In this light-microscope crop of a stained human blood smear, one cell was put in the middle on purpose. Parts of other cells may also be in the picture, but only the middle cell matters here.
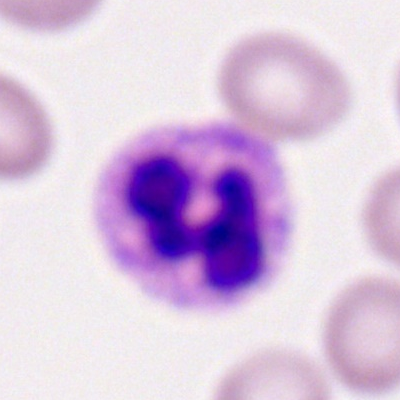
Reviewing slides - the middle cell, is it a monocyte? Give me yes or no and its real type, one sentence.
No, the correct answer for the middle cell is a segmented neutrophil, not a monocyte.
